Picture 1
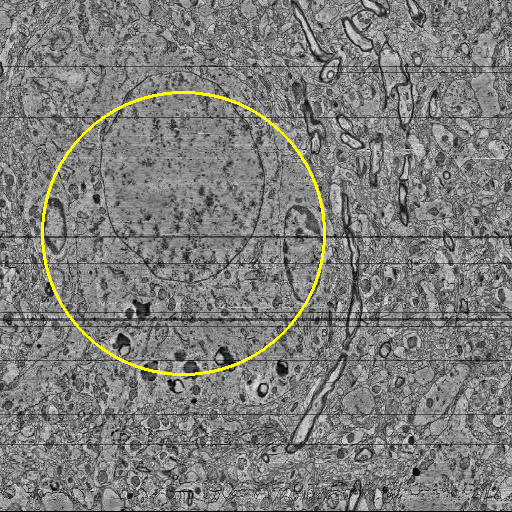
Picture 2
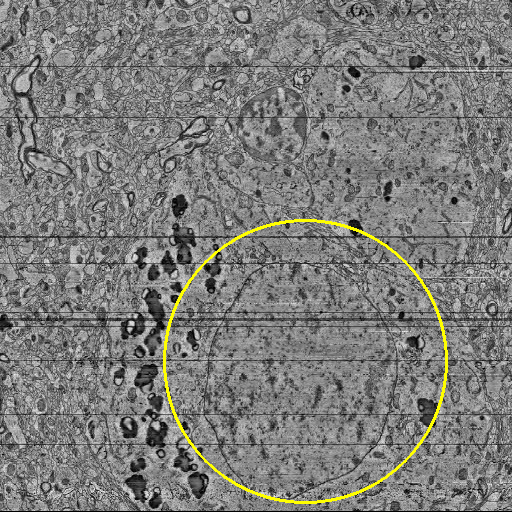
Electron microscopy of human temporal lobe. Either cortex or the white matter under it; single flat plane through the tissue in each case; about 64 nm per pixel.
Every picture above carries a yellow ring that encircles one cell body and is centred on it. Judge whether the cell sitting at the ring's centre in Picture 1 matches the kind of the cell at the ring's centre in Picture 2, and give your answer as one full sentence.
Yes, the cells centred in the rings of Pictures 1 and 2 belong to one kind.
